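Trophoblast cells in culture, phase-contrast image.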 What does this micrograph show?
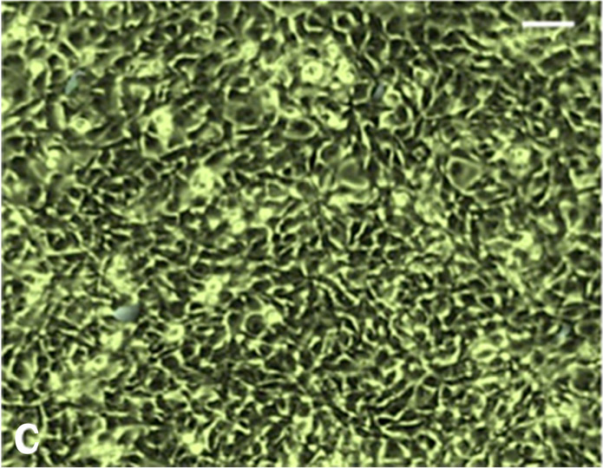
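The cells are packed closely, many of them polygonal or spindle-shaped, with bright halos outlining their edges. Here and there a few rounder, brighter cells stand out from the sheet.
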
